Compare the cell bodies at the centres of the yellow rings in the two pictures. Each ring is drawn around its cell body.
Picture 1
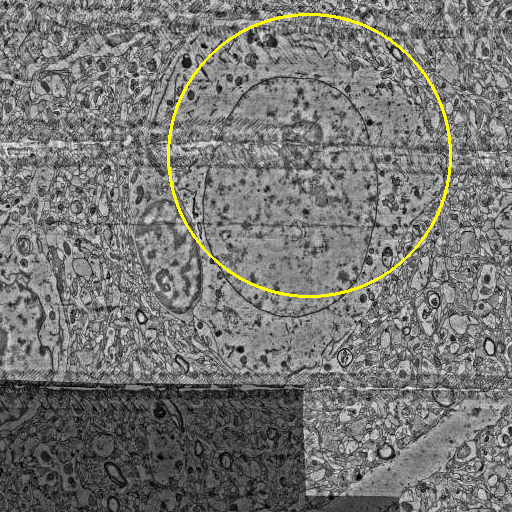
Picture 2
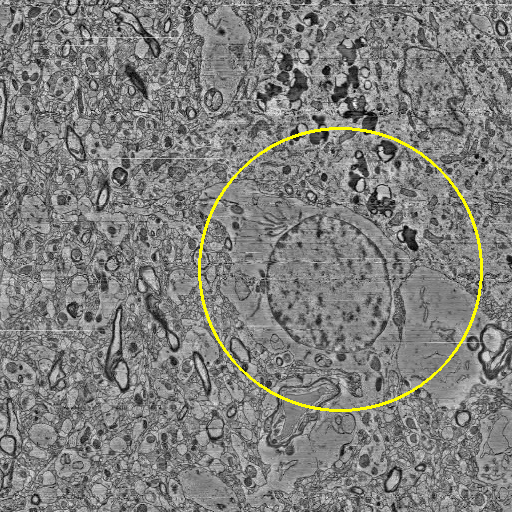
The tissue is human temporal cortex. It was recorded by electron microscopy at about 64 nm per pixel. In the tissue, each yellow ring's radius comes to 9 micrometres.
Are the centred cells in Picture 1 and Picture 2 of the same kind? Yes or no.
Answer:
no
